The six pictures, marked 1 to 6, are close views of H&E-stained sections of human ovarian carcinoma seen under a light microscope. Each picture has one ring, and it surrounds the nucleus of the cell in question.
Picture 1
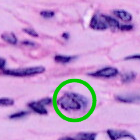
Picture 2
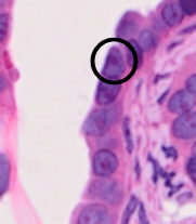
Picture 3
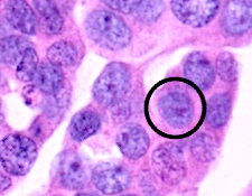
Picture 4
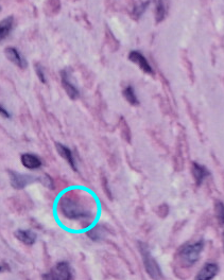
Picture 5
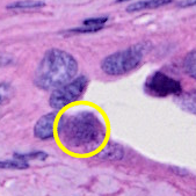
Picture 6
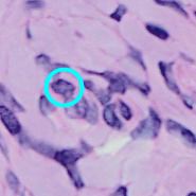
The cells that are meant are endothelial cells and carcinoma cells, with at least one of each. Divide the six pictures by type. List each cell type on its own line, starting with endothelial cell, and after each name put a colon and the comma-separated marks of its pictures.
endothelial cell: 1, 4, 6
carcinoma cell: 2, 3, 5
